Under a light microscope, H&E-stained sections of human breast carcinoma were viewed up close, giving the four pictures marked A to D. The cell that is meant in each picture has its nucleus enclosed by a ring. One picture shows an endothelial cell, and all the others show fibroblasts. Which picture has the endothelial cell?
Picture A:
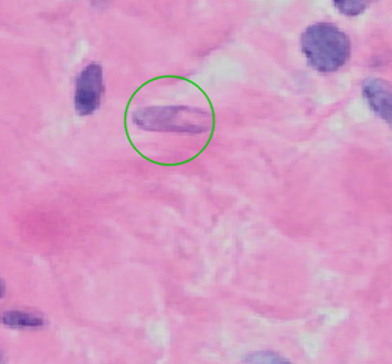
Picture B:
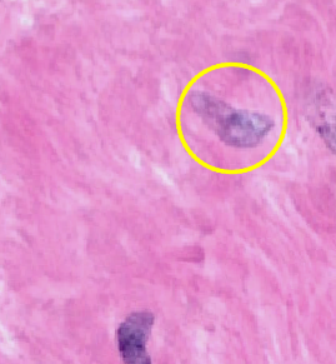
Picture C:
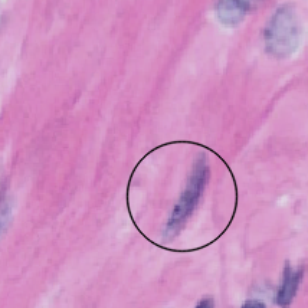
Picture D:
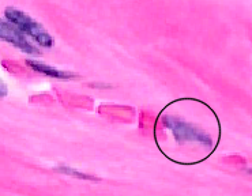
D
